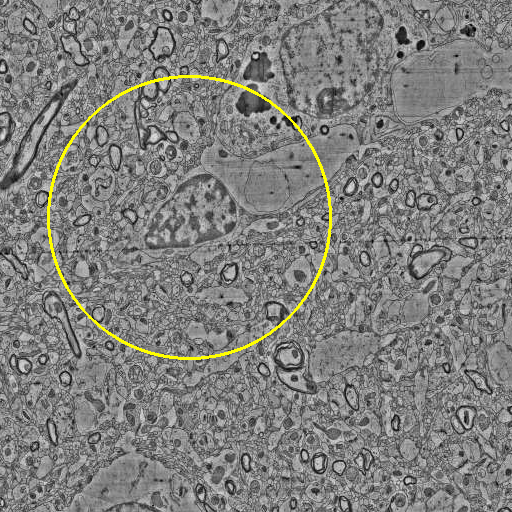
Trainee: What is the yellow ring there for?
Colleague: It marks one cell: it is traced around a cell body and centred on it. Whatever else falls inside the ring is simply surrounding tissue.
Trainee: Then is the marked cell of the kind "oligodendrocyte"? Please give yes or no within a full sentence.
No, the marked cell at the centre of the yellow ring is of a different kind.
